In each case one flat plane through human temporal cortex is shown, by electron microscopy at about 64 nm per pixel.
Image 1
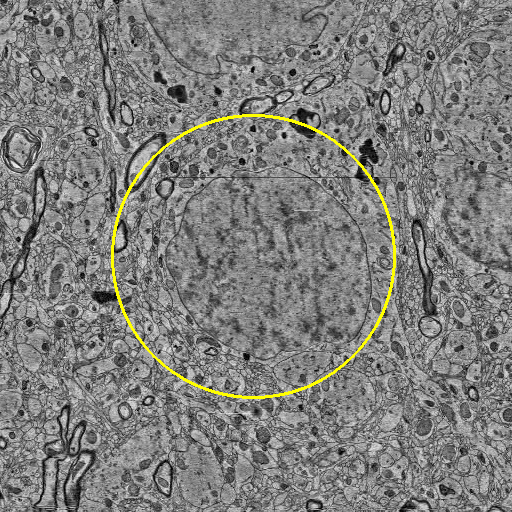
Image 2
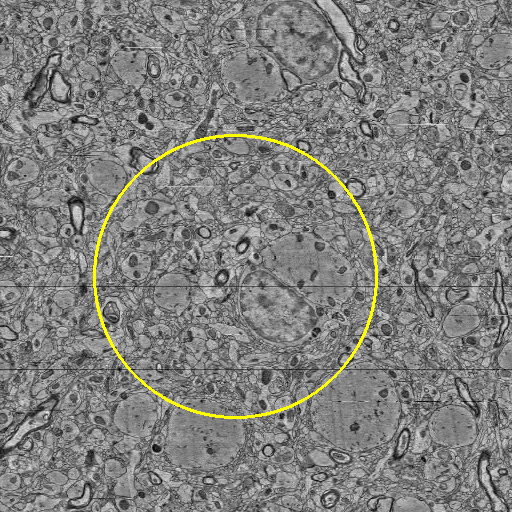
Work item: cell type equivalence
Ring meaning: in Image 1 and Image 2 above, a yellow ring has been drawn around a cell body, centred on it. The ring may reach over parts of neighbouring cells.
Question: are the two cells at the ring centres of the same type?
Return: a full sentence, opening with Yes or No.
No, the two centred cells are of two types.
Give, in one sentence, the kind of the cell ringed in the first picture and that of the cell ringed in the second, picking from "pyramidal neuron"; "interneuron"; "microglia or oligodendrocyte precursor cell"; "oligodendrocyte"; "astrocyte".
For the first picture it is a pyramidal neuron; for the second, an oligodendrocyte.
